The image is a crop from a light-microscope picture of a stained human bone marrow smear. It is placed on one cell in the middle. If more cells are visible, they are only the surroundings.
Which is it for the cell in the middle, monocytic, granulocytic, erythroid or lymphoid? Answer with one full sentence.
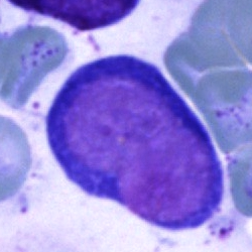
The cell centered in the crop is included in the erythroid lineage.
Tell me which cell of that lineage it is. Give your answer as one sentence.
The crop centres on a single cell, and that cell is a proerythroblast.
